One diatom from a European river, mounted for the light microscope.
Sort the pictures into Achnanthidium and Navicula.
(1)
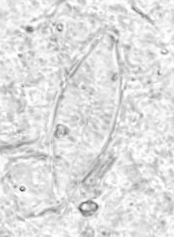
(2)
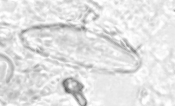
Navicula: 1
Achnanthidium: 2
